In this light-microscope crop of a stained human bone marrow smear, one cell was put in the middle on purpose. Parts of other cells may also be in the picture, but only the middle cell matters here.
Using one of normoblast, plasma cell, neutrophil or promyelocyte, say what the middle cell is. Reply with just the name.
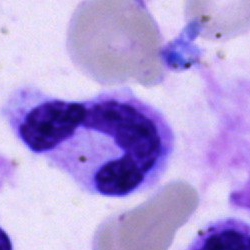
neutrophil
